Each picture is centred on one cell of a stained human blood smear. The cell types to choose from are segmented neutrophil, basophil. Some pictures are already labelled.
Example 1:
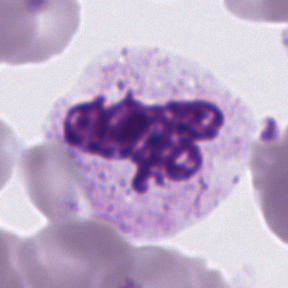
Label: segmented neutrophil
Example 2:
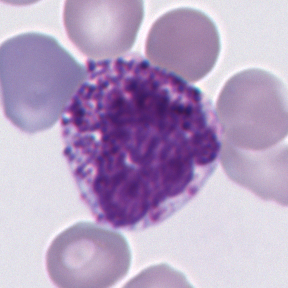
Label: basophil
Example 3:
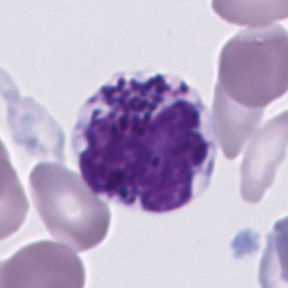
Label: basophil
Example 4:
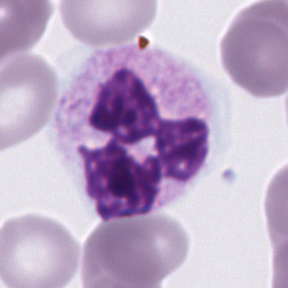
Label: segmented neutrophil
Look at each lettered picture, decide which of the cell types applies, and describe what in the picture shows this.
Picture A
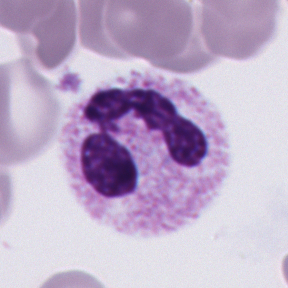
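Answer: segmented neutrophil. The cytoplasm is plentiful and pale pinkish-lilac.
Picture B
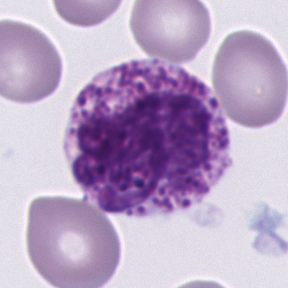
Answer: basophil. The granules are coarse and vary in size.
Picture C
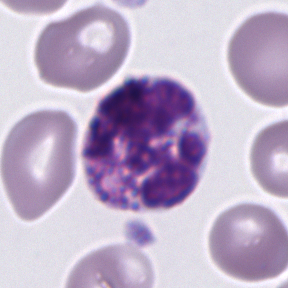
Answer: basophil. Coarse dark blue-violet granules are scattered across the cell.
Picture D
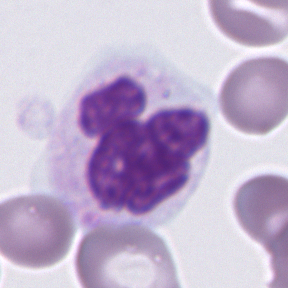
Answer: segmented neutrophil. The cytoplasm holds sparse, very fine lilac granules.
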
